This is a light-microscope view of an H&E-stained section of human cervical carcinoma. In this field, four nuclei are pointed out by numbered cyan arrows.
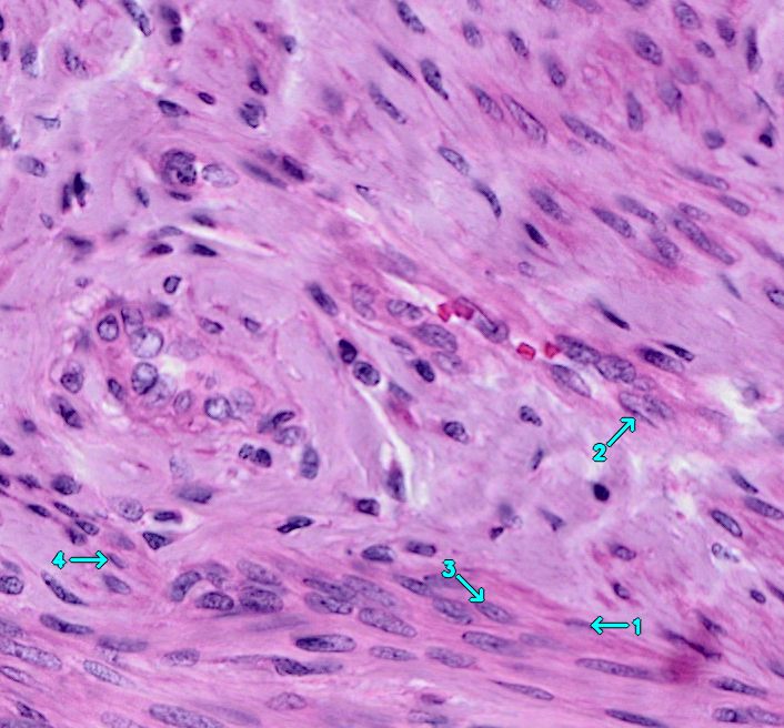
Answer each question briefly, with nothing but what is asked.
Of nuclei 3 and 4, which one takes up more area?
3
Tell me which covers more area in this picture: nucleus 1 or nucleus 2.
2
